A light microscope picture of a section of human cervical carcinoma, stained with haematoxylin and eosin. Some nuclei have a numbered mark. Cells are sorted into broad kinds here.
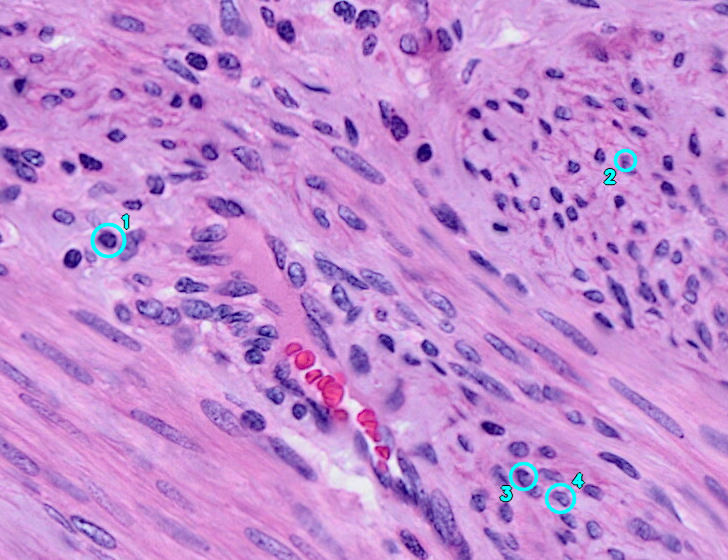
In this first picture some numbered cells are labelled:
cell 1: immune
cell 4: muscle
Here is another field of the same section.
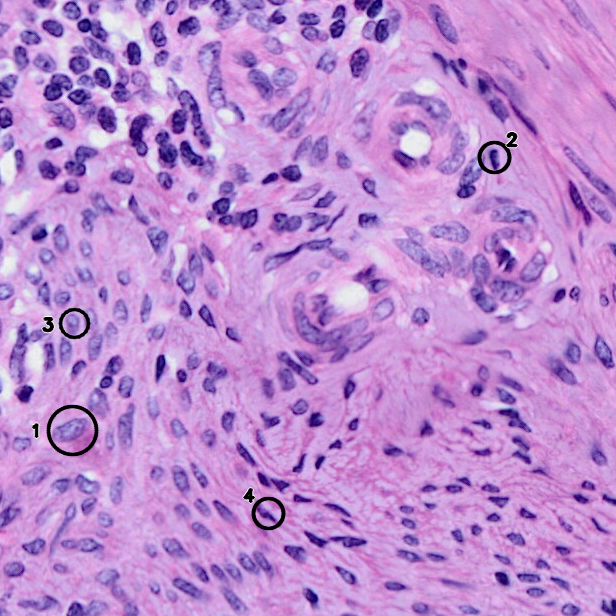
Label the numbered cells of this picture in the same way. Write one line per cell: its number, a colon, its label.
1: muscle
2: immune
3: muscle
4: muscle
